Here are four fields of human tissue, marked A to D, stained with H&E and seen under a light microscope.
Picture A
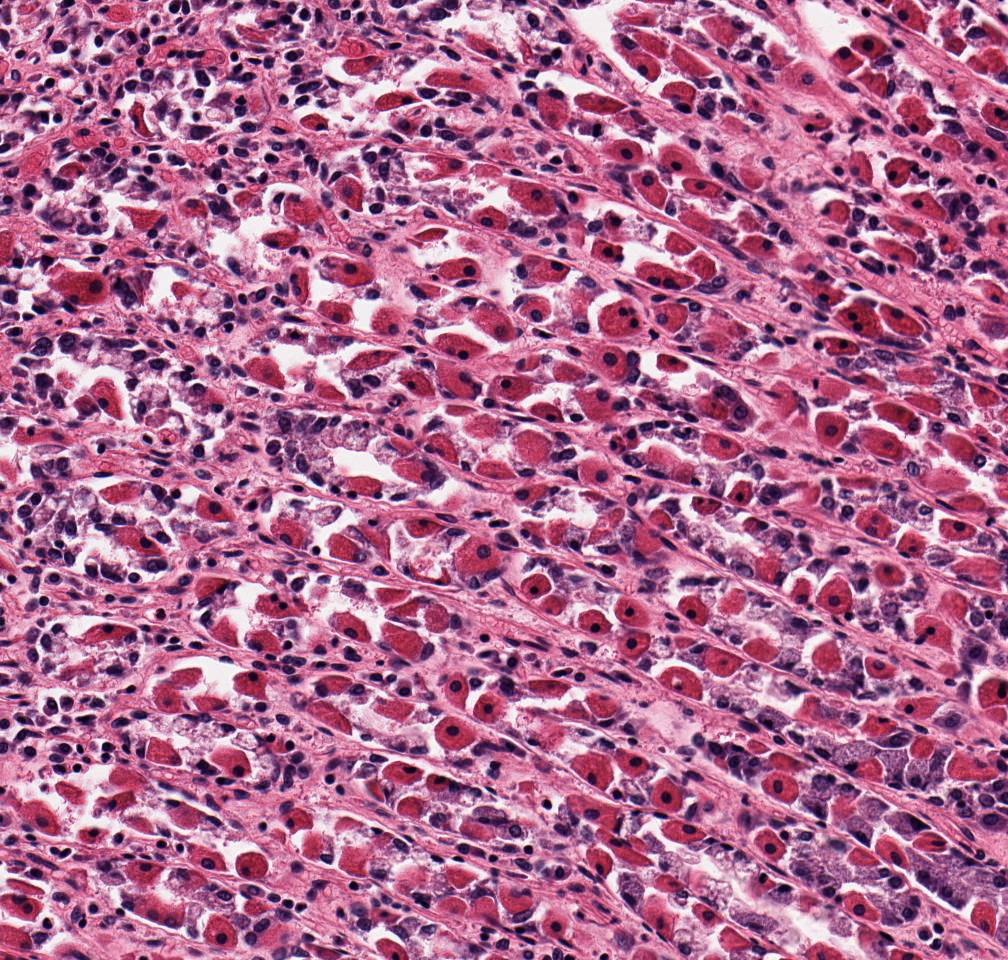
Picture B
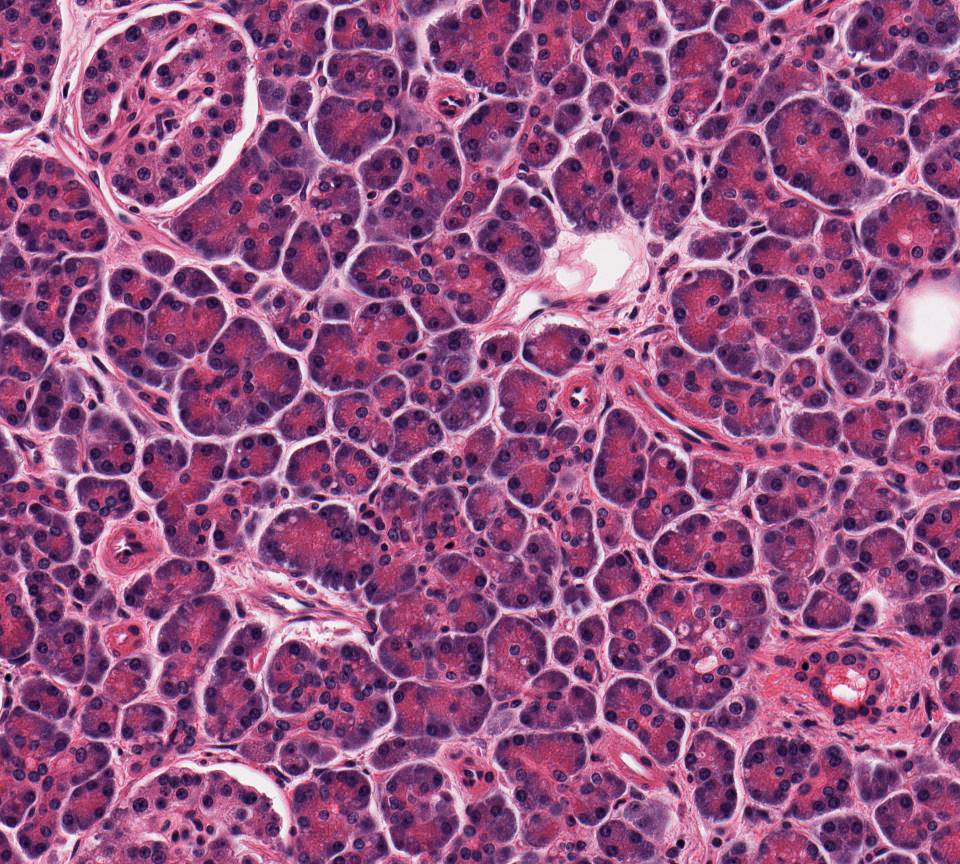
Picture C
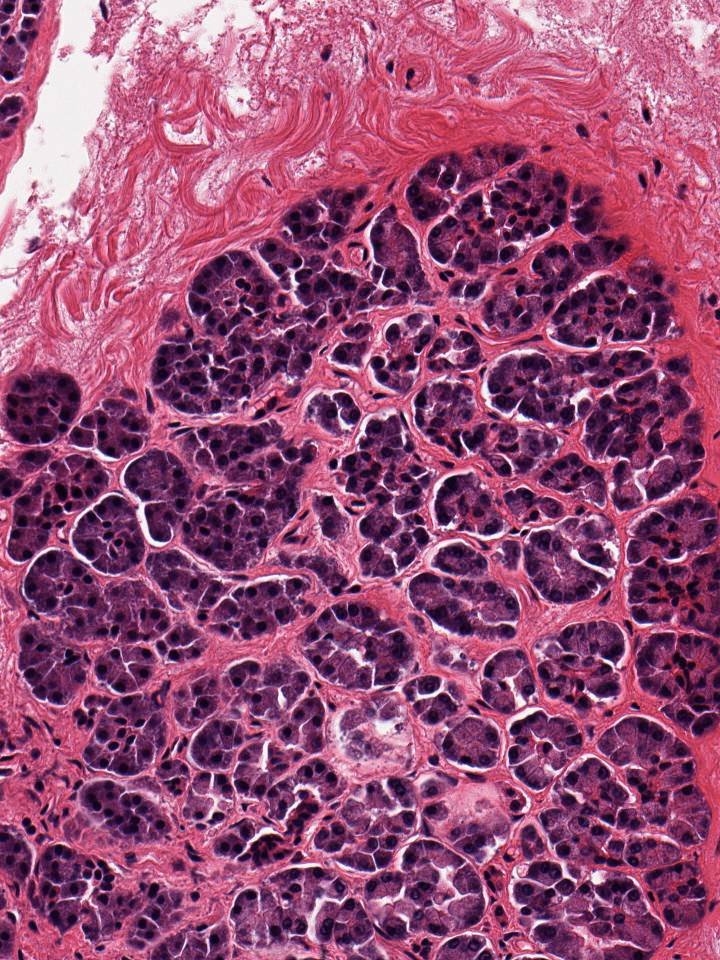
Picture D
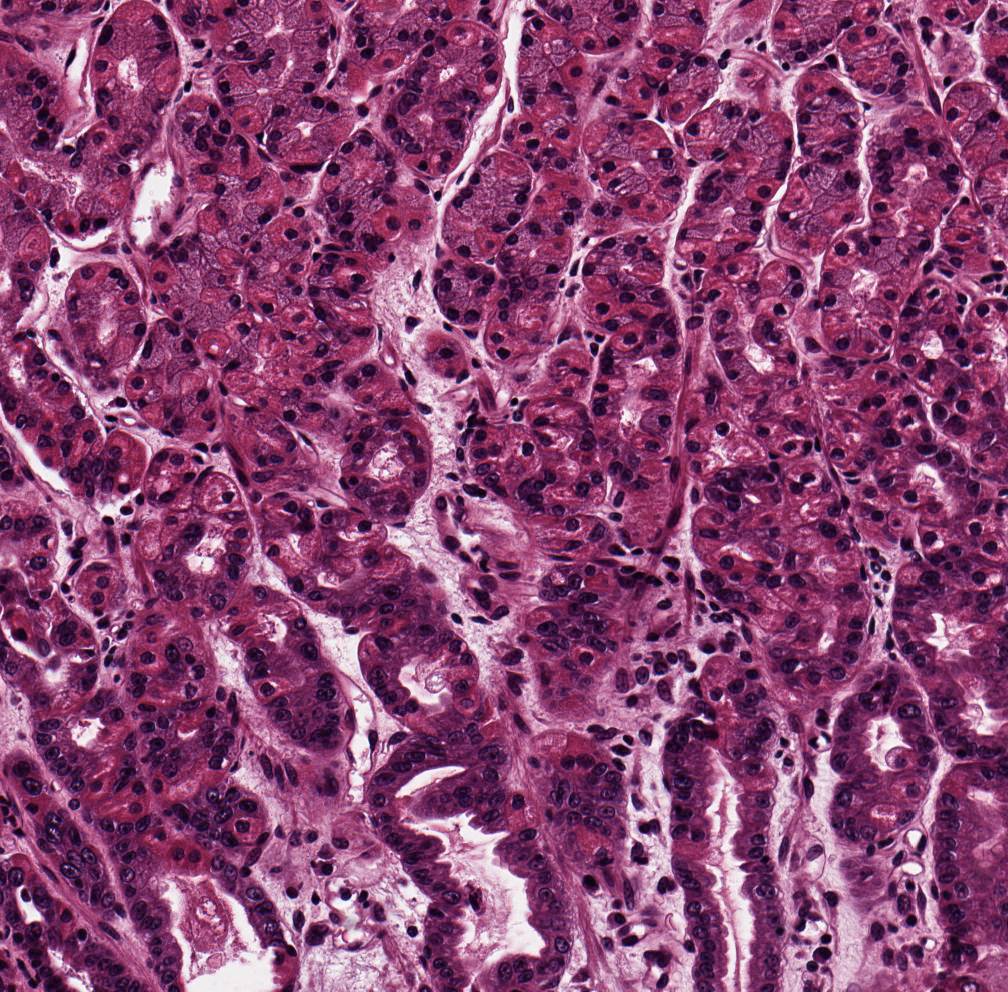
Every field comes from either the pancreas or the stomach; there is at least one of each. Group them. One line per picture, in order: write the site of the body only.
stomach
pancreas
pancreas
stomach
